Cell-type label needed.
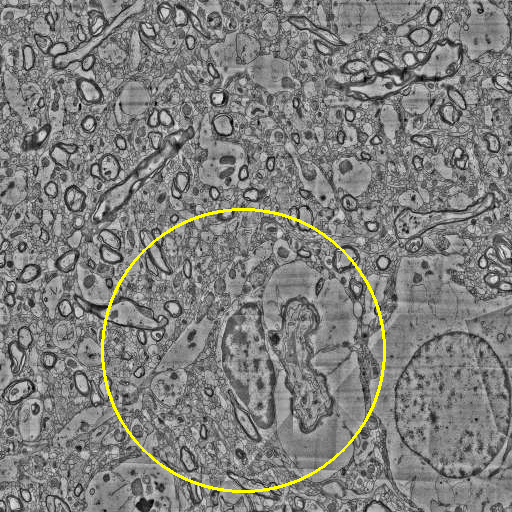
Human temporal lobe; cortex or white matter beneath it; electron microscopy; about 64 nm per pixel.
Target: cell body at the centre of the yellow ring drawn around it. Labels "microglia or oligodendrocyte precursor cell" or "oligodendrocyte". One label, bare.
microglia or oligodendrocyte precursor cell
